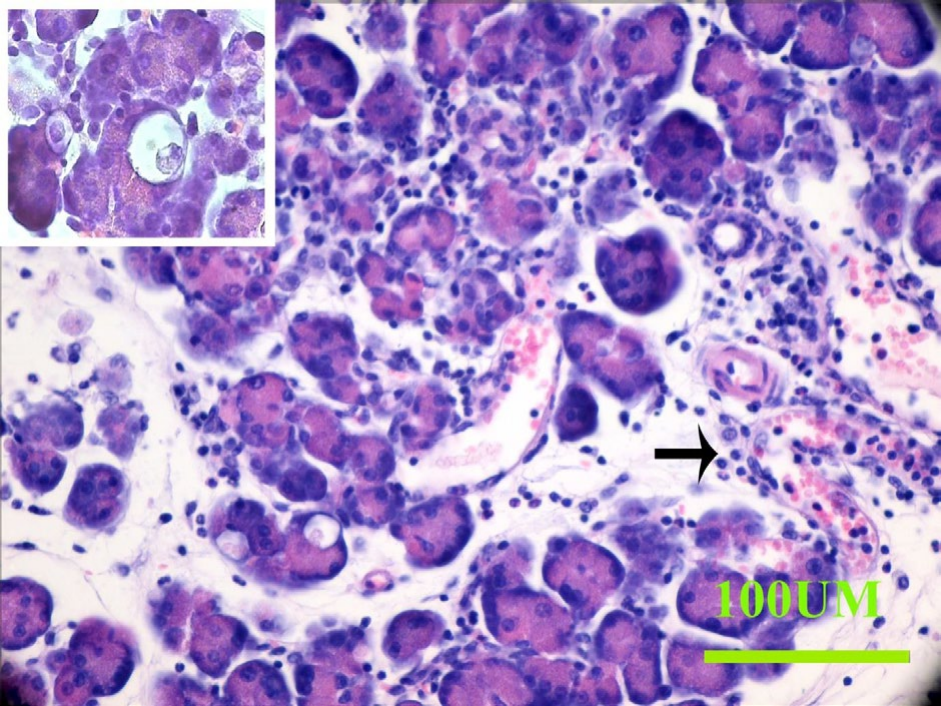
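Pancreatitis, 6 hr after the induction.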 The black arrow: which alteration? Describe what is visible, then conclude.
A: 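Many small, dark, round nuclei crowd the loose tissue between the acinar groups where the arrow points. These small cells cluster around blood vessels containing red blood cells. The answer: Leukocyte infiltration.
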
